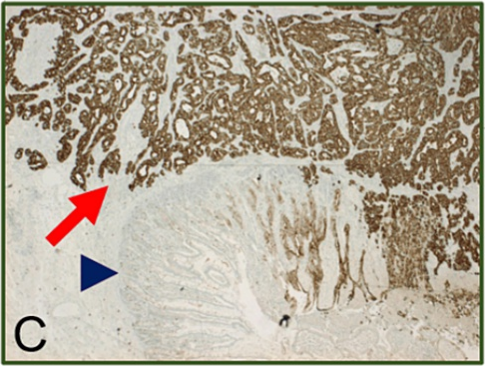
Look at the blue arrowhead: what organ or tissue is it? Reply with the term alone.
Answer: Benign small intestinal mucosa.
